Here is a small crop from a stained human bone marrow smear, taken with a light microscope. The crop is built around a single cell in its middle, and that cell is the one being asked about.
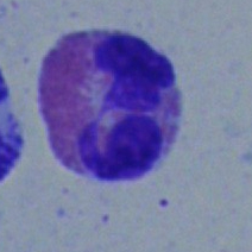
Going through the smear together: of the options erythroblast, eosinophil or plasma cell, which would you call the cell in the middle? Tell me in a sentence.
The central cell shown in this smear crop is an eosinophil.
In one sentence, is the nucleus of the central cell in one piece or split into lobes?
The key feature is a nucleus with multiple lobes.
